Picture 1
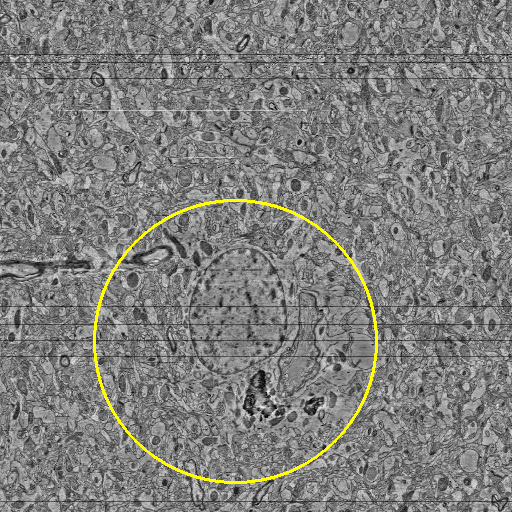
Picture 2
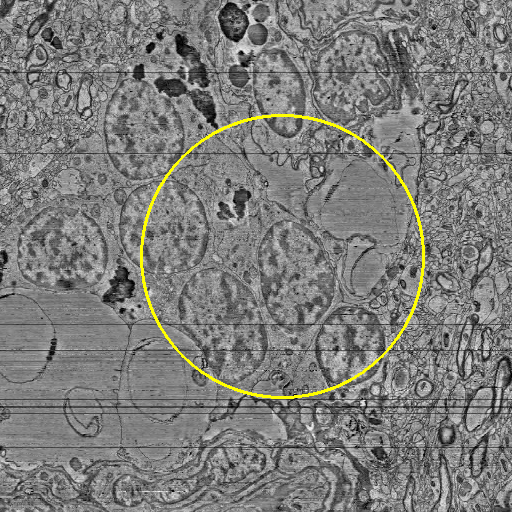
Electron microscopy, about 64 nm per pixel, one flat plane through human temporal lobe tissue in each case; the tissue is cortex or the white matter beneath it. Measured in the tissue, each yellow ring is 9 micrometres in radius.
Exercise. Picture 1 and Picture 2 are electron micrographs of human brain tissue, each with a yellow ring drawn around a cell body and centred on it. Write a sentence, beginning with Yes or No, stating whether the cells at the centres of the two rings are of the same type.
No, the cells at the centres of the rings are of two types.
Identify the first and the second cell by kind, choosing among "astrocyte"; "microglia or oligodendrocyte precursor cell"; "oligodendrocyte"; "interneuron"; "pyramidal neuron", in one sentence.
The one in the first picture is an astrocyte, while the one in the second is an oligodendrocyte.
